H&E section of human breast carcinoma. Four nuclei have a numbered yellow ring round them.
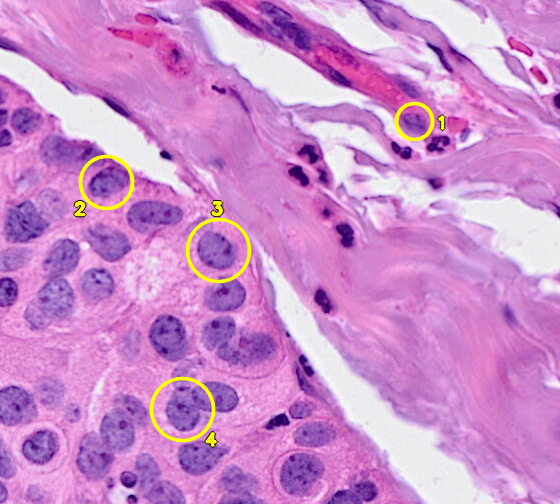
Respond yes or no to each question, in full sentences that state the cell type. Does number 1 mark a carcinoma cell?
No, cell 1 does not represent a carcinoma cell; it represents an endothelial cell.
